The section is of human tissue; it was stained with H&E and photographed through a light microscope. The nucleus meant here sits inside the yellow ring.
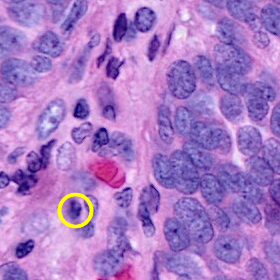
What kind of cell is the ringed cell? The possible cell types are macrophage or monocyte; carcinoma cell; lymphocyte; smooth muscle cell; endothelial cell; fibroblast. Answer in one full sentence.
Placed in its cell category, the ringed cell is a lymphocyte.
